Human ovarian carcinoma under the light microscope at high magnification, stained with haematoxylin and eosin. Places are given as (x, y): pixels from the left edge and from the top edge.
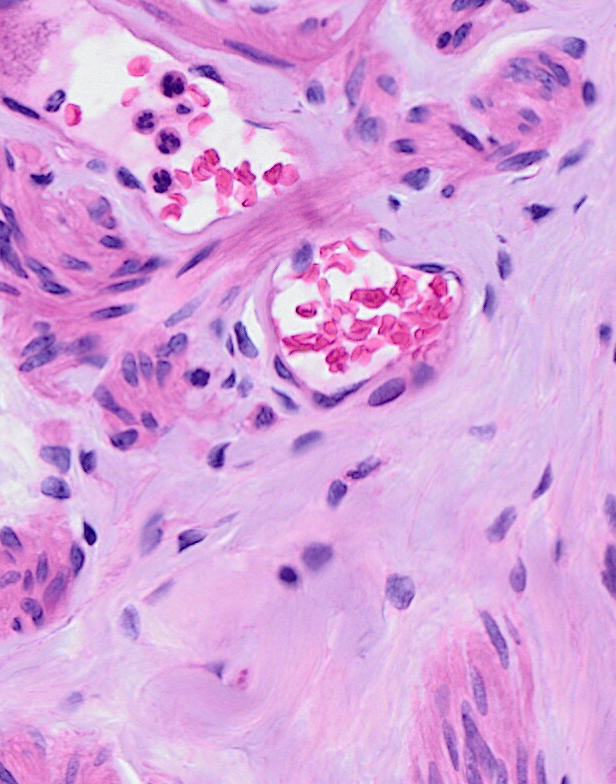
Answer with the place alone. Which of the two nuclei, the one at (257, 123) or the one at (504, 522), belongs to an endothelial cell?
(257, 123)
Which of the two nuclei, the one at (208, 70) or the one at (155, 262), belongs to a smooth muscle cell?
(155, 262)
